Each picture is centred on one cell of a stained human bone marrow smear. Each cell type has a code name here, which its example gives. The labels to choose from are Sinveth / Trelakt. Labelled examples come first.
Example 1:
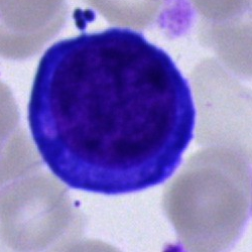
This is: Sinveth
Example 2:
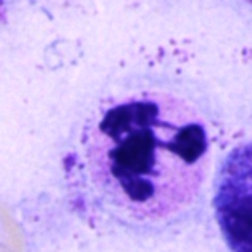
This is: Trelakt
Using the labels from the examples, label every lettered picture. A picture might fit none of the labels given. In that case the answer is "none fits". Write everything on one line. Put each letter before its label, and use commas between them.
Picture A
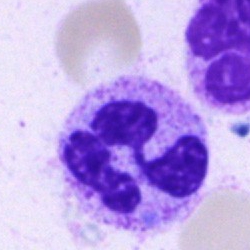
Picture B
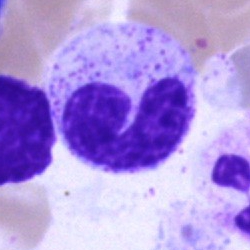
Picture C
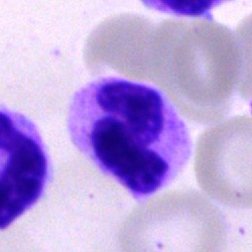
A Trelakt, B none fits, C Trelakt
